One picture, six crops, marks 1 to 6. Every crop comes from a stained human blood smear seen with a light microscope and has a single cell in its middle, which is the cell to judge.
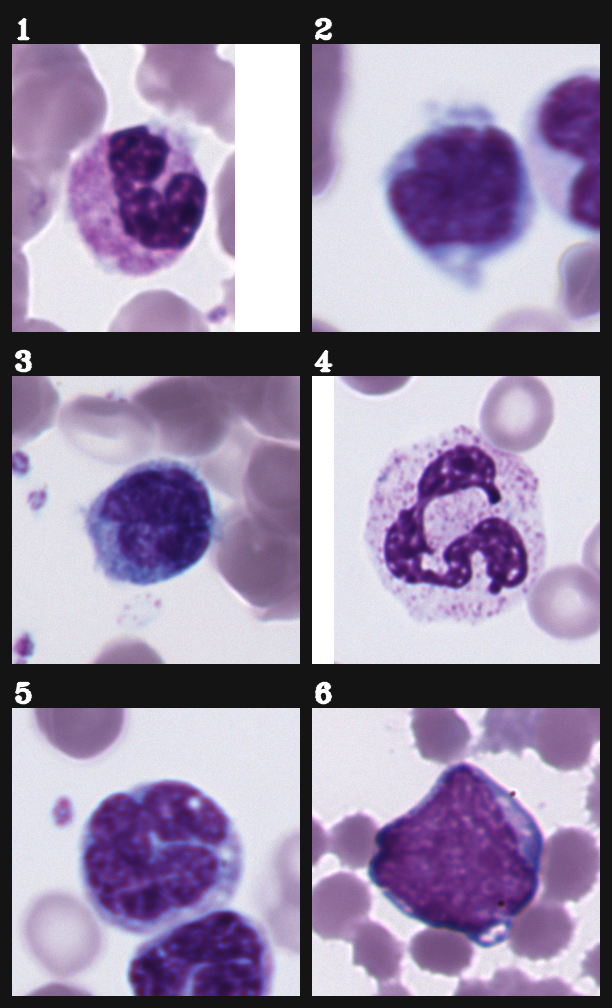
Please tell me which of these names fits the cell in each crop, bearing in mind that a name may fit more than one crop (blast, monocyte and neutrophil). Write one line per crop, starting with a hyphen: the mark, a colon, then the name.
- 1: neutrophil
- 2: monocyte
- 3: monocyte
- 4: neutrophil
- 5: monocyte
- 6: blast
